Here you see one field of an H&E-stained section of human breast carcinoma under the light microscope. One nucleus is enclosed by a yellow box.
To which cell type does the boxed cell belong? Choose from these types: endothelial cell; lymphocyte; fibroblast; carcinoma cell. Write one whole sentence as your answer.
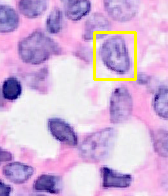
The category to which the boxed cell belongs is that of a carcinoma cell.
